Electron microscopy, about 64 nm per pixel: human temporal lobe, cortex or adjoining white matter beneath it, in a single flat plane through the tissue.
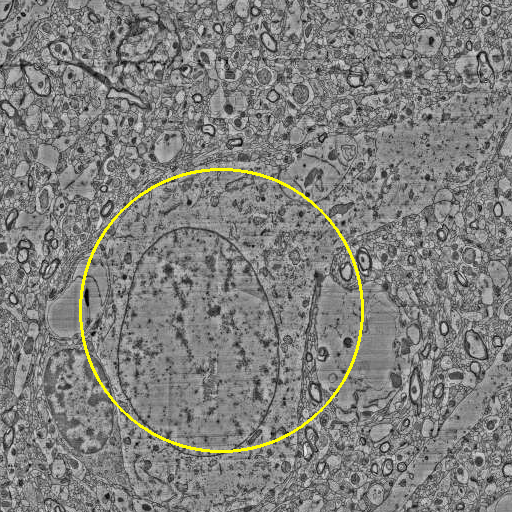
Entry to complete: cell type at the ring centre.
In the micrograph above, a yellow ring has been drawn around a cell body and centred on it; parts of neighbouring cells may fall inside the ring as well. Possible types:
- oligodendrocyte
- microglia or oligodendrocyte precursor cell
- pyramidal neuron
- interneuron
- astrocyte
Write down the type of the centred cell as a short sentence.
The ring is centred on a pyramidal neuron.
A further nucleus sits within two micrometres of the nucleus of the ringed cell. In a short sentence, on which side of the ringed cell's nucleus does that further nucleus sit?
That nucleus lies to the left of it.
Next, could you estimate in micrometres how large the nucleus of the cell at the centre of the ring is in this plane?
In this plane, roughly 15 by 11 micrometres.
